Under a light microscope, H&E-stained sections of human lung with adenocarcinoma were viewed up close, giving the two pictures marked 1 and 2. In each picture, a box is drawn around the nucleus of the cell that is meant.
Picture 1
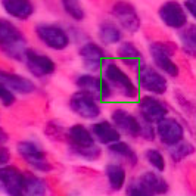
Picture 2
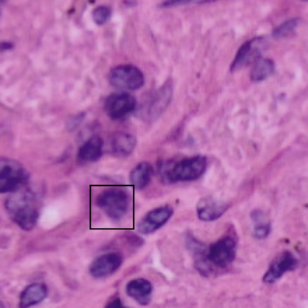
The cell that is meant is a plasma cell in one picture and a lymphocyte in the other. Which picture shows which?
1: lymphocyte
2: plasma cell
